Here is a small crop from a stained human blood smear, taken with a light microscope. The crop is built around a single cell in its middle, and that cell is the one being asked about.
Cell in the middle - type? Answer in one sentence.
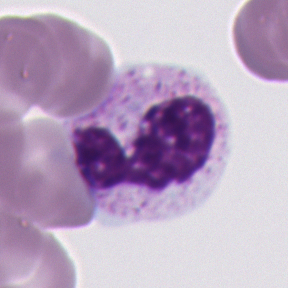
The cell nearest the centre of this crop is a segmented neutrophil.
